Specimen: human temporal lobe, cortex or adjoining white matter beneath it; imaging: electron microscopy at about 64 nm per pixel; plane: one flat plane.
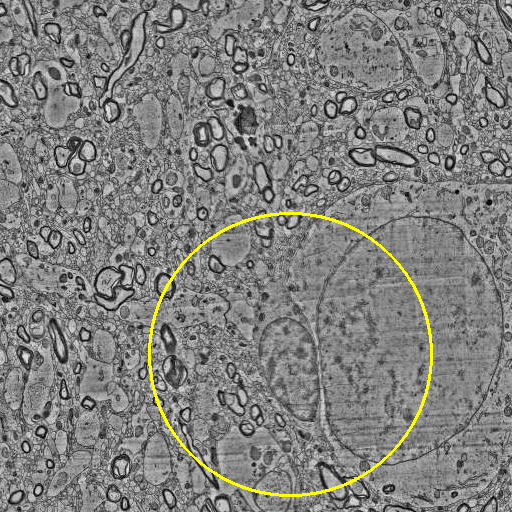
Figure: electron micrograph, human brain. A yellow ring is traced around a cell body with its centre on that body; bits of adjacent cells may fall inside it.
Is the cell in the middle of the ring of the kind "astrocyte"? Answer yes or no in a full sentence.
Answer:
No, another kind applies to the cell centred within the yellow ring of the picture.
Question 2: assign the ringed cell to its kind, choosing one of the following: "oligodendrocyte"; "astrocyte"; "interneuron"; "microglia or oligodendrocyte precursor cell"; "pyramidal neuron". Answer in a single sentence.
Instead, the picture shows an oligodendrocyte at the centre of the ring.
